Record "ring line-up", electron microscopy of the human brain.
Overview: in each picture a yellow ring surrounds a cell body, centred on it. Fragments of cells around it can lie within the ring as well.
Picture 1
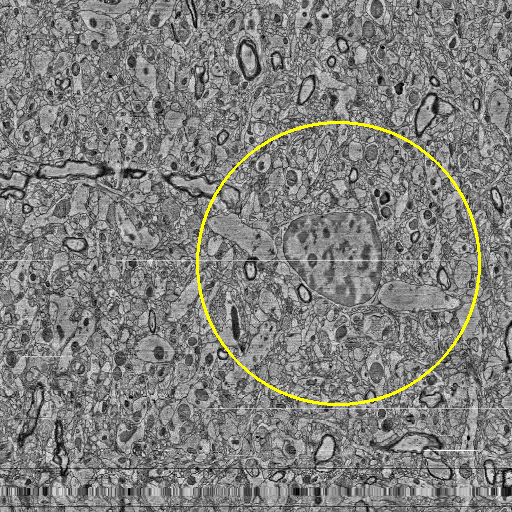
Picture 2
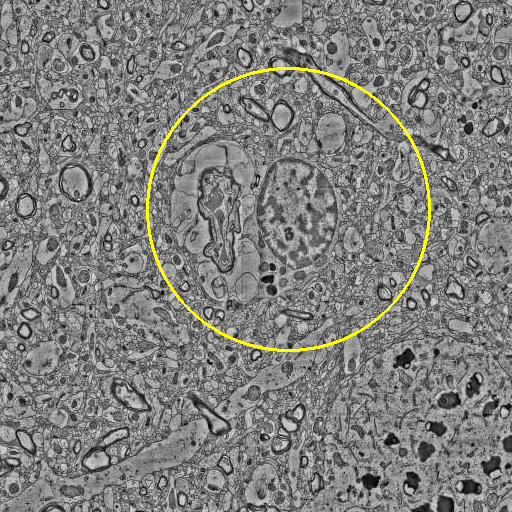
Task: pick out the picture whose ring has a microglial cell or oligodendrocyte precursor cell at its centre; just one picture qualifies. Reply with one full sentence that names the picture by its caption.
Going by the cell at the ring's centre, the right choice is Picture 1.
